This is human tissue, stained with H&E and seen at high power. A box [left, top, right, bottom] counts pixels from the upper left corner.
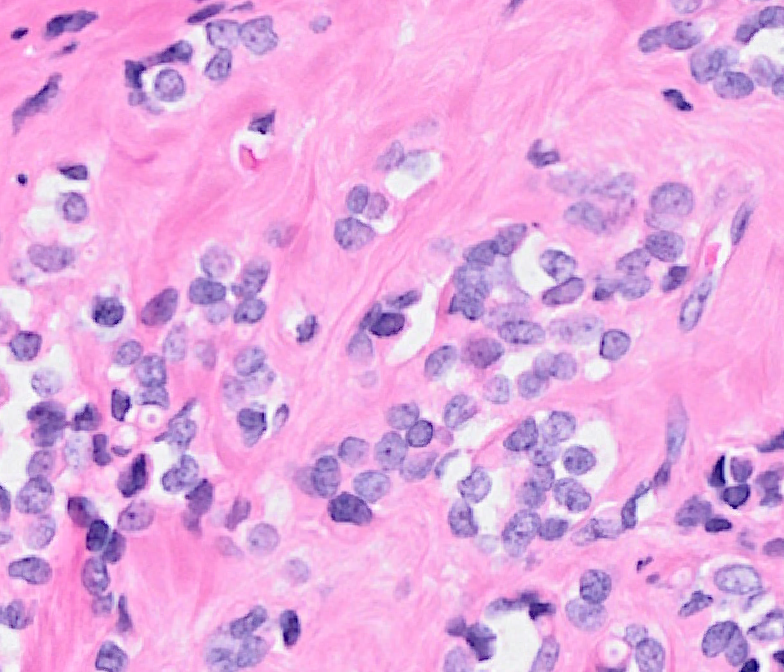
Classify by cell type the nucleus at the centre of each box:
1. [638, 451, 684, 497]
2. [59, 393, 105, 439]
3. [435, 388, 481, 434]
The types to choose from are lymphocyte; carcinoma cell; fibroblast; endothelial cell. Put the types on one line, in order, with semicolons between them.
endothelial cell; carcinoma cell; carcinoma cell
